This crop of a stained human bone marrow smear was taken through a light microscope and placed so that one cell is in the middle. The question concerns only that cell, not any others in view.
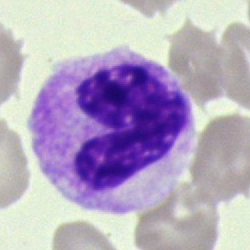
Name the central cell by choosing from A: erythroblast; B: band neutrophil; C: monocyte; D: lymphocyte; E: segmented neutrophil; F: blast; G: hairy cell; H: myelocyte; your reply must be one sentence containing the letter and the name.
Option B is the right choice, the central cell being a band neutrophil.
